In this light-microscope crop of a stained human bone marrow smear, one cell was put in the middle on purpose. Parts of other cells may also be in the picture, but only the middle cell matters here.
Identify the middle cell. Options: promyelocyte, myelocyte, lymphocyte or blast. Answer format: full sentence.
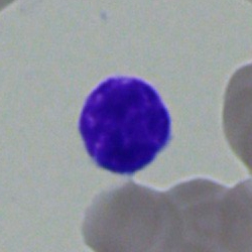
The crop's centre is taken up by a lymphocyte.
